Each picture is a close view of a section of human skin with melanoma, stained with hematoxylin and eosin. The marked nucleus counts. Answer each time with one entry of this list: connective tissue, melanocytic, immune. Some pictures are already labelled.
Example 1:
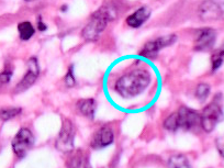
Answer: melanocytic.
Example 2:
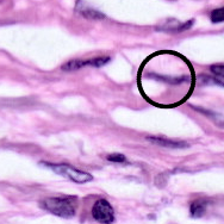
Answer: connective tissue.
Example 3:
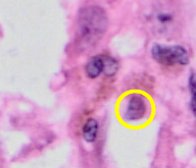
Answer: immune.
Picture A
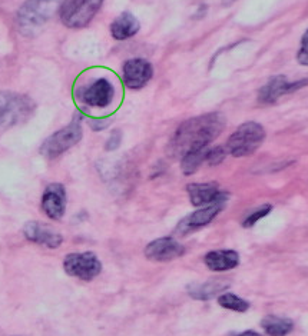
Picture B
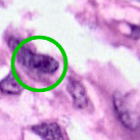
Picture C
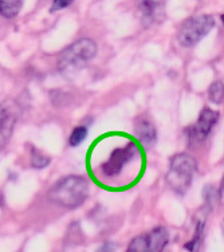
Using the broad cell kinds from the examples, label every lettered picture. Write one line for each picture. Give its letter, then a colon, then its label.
A: immune.
B: melanocytic.
C: melanocytic.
